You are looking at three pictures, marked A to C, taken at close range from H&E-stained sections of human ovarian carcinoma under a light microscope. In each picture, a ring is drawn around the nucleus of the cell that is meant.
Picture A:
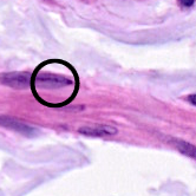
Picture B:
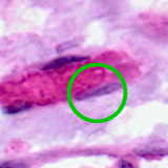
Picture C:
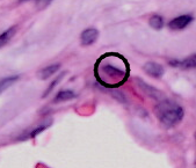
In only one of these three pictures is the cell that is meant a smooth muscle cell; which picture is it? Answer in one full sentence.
The smooth muscle cell is the one in picture A.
